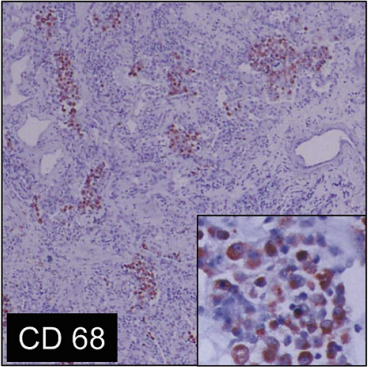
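This is lung tissue in which clusters of large round macrophages with red-brown granular cytoplasm fill intra-alveolar spaces, with occasional single stained cells in the interstitium. The cells have round nuclei and abundant cytoplasm, and the surrounding thickened interstitium contains many small blue-stained nuclei.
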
